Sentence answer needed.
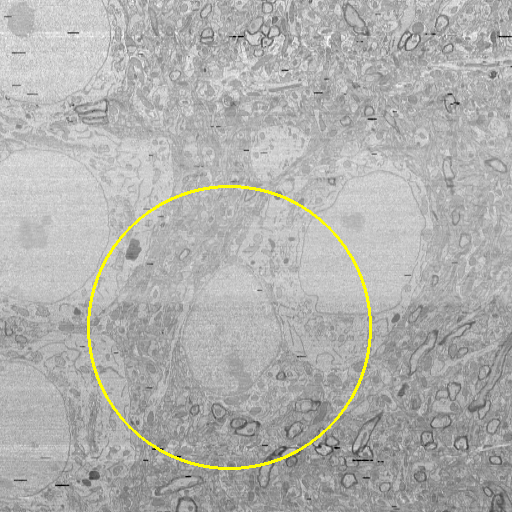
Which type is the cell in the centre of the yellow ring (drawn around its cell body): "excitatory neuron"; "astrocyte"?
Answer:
In the centre of the yellow ring is an astrocyte.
